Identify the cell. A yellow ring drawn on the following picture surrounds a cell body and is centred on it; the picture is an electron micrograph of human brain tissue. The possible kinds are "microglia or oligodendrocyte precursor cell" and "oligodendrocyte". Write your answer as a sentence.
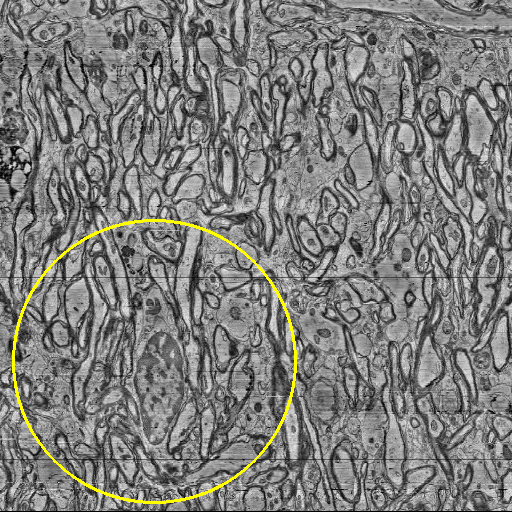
The cell identified by the ring is a microglial cell or oligodendrocyte precursor cell.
